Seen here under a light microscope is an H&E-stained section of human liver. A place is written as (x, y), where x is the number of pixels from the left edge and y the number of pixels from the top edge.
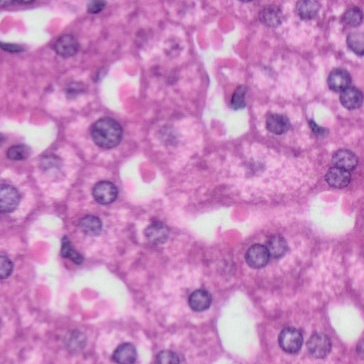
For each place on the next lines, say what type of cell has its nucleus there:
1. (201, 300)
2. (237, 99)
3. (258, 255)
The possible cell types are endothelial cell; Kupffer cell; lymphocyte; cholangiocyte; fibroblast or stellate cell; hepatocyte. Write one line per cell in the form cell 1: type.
cell 1: hepatocyte
cell 2: Kupffer cell
cell 3: hepatocyte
